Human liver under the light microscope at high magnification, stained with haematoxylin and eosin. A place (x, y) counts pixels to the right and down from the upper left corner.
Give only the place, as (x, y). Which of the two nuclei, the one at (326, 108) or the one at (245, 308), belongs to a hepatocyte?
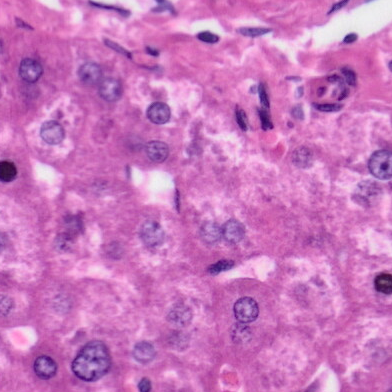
(245, 308)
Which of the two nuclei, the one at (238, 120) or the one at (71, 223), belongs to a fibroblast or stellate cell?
(238, 120)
